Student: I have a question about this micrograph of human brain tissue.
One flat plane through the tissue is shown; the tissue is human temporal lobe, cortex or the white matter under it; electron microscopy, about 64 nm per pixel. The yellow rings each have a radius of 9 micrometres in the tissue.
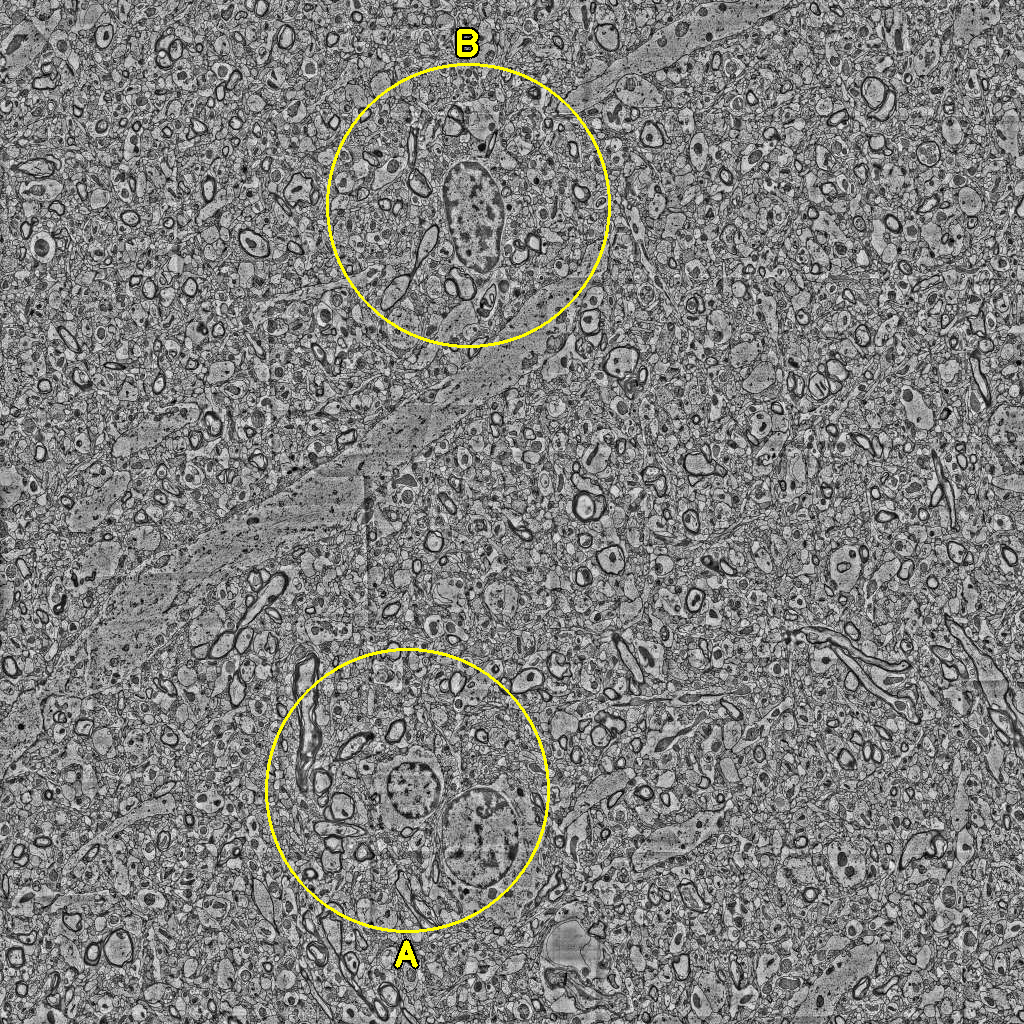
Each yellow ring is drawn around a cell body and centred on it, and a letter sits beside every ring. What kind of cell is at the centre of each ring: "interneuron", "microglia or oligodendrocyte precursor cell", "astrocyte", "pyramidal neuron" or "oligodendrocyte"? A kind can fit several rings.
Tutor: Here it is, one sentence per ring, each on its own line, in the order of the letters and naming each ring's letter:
For ring A, the cell at the centre is a microglial cell or oligodendrocyte precursor cell.
For ring B, the cell at the centre is a microglial cell or oligodendrocyte precursor cell.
